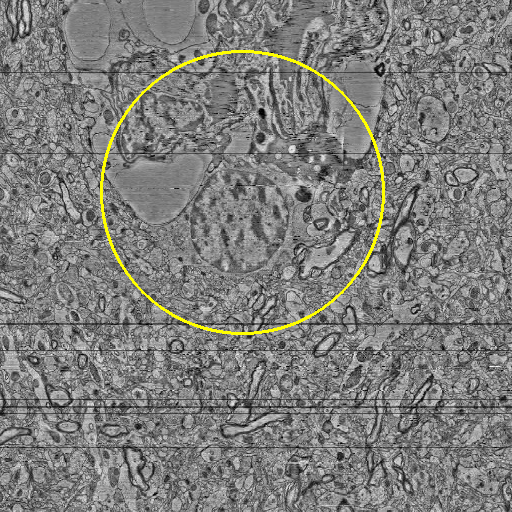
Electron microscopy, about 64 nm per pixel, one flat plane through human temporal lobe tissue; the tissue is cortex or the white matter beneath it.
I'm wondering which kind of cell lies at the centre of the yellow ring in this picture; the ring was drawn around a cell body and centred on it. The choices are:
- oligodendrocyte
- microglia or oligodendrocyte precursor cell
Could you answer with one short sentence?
At the centre of the ring lies an oligodendrocyte.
